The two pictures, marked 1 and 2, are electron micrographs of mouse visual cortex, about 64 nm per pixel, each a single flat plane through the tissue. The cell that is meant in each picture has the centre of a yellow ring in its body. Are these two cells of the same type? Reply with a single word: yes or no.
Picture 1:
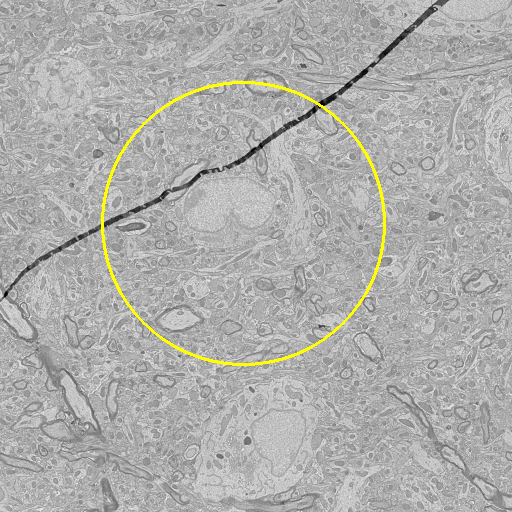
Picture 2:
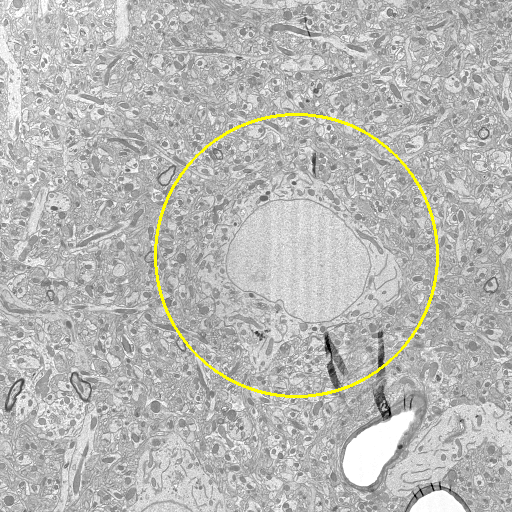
no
